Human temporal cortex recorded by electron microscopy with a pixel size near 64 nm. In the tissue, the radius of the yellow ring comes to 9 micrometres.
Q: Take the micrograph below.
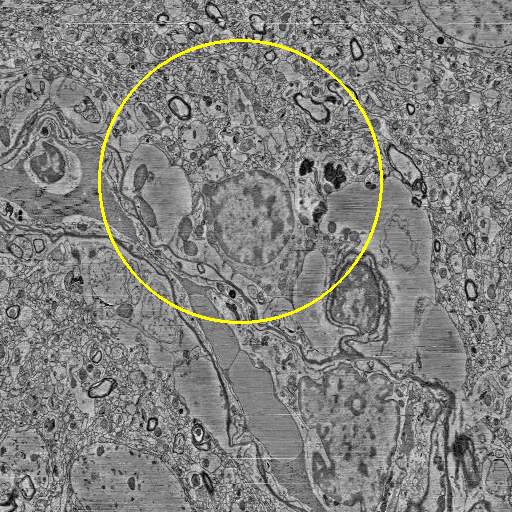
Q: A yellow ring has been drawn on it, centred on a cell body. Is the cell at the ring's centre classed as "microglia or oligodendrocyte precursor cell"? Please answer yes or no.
No, its kind is another one.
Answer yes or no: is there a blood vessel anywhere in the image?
Yes, there is one.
